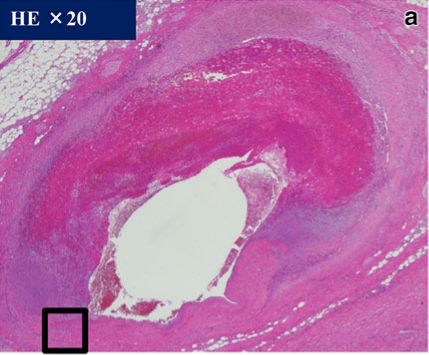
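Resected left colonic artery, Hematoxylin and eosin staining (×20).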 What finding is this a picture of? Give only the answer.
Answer: Intramural hemorrhage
